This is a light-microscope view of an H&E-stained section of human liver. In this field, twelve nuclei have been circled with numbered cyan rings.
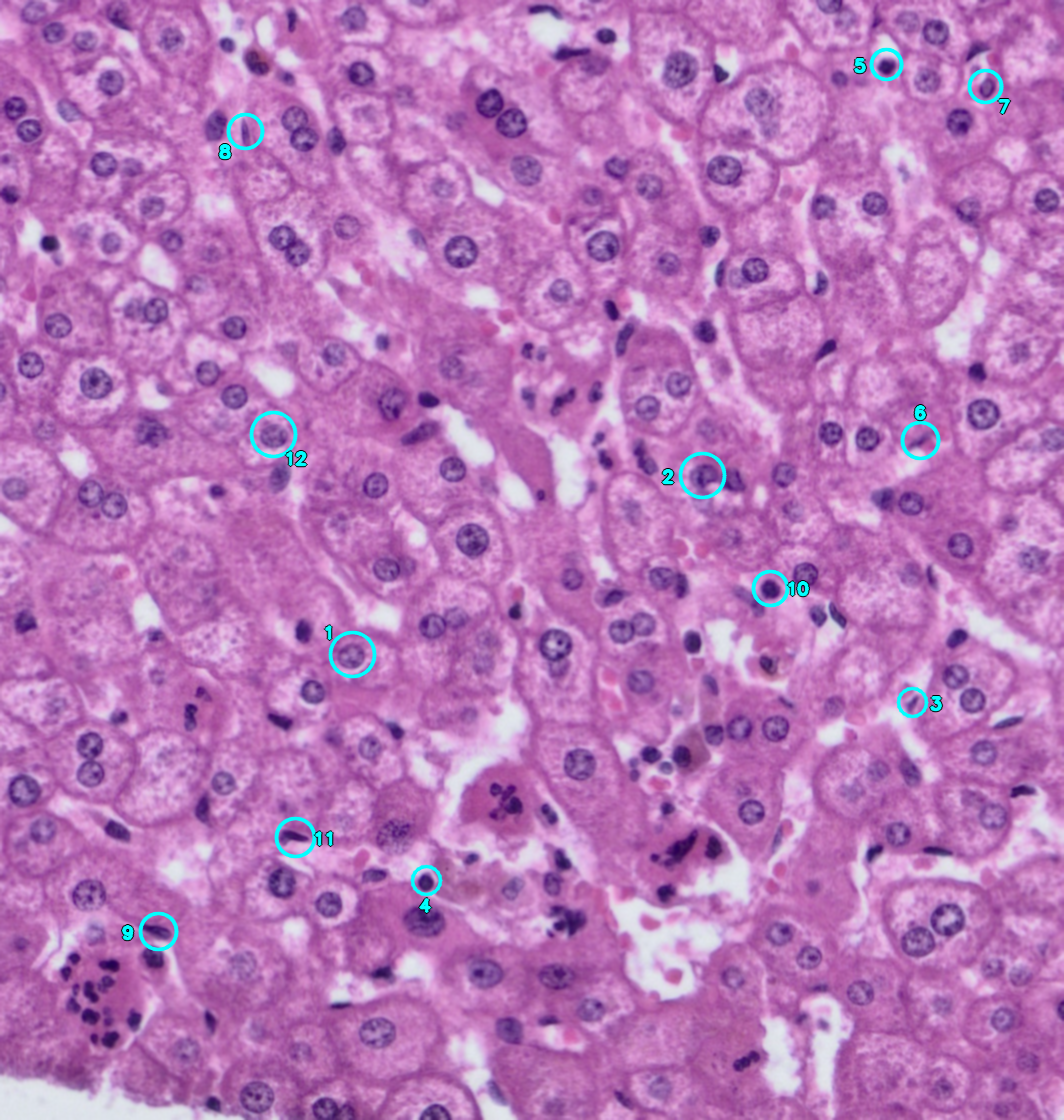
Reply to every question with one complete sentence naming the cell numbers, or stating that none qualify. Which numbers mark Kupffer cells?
Of the numbered cells, only cell 7 is a Kupffer cell.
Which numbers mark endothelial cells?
By cell type, the cells numbered 3, 6, 8 and 11 are endothelial cells.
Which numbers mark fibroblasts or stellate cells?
Cell 9 is a fibroblast or stellate cell, which is true of none of the other numbered cells.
